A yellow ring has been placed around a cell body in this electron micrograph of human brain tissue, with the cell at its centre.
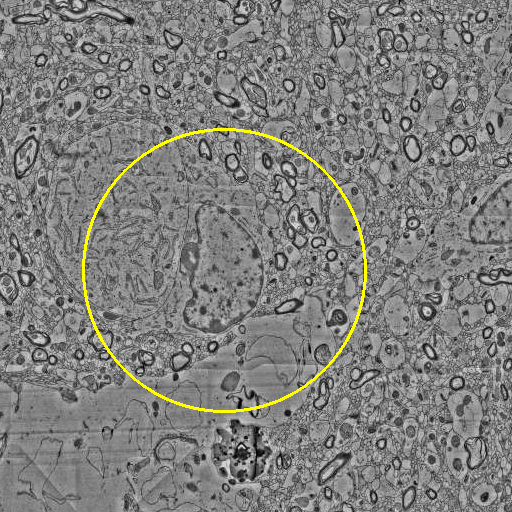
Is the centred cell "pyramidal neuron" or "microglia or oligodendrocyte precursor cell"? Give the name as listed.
microglia or oligodendrocyte precursor cell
